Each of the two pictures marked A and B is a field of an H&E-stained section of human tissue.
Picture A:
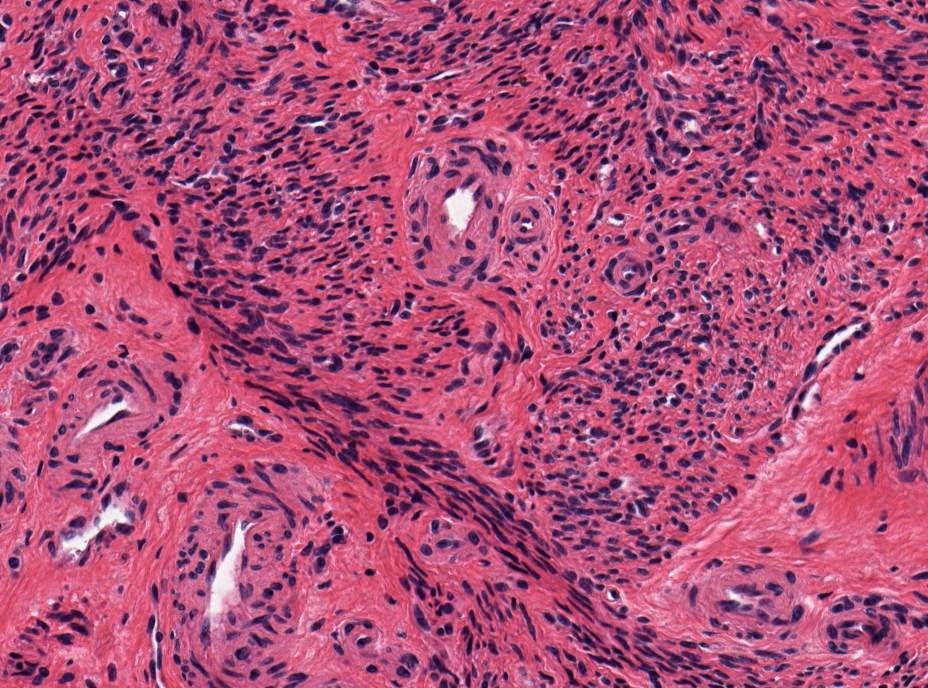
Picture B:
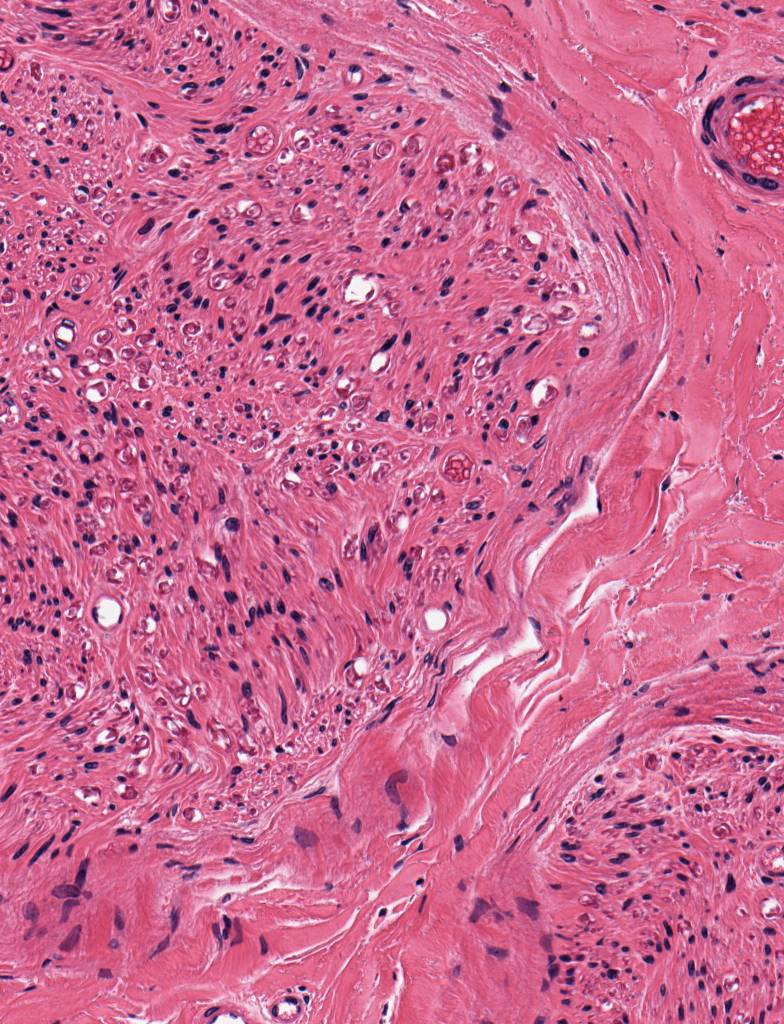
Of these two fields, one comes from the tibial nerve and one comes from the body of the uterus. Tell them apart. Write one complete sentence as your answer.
It is picture A that comes from the body of the uterus, and picture B that comes from the tibial nerve.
